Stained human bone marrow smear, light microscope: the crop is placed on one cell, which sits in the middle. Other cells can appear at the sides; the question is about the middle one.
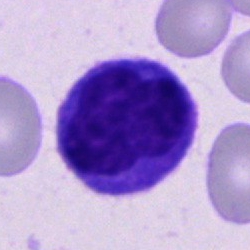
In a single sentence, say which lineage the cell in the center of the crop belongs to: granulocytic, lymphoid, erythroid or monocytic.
Lineage field for the centered cell should read monocytic.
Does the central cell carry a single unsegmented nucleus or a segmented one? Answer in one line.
Just one compact nuclear mass here, round, oval or kidney-shaped.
